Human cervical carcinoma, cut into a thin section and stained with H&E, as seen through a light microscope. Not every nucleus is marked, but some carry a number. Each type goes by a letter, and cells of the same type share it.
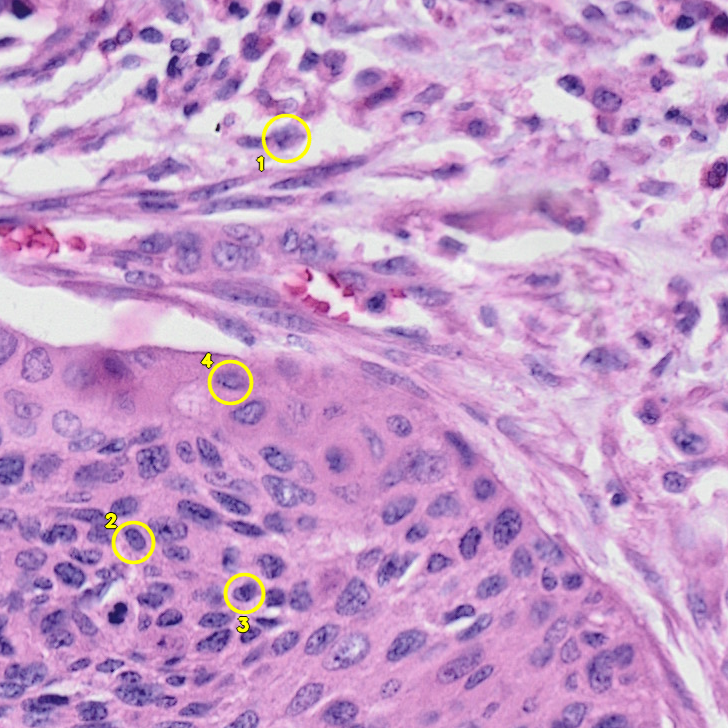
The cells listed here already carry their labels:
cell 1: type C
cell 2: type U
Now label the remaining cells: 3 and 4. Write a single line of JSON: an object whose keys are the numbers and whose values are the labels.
{"3": "type U", "4": "type U"}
